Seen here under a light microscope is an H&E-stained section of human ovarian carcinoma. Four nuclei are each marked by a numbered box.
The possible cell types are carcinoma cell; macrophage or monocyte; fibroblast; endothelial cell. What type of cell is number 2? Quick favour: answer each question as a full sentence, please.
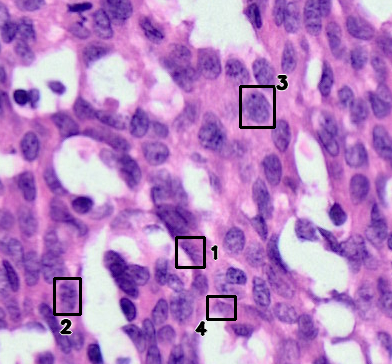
The cell identified by number 2 is a macrophage or monocyte.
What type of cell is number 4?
Here the cell numbered 4 is a carcinoma cell.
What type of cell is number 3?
Within this field of view, the cell labelled 3 is a carcinoma cell.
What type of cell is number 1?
At number 1, the marked cell is a carcinoma cell.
